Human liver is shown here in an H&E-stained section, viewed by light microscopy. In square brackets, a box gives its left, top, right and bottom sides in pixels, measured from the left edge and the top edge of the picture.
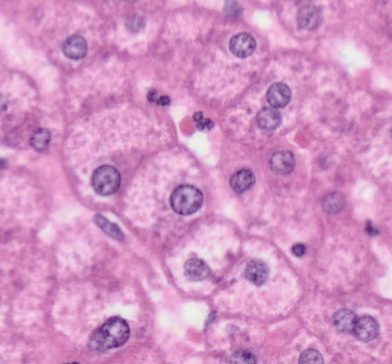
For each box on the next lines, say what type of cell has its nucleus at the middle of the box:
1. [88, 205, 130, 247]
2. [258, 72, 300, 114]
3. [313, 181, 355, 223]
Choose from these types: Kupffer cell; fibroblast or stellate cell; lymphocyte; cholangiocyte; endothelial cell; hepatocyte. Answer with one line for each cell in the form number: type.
1: Kupffer cell
2: hepatocyte
3: hepatocyte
